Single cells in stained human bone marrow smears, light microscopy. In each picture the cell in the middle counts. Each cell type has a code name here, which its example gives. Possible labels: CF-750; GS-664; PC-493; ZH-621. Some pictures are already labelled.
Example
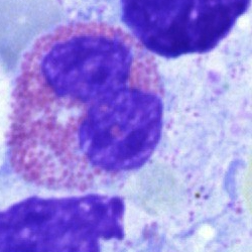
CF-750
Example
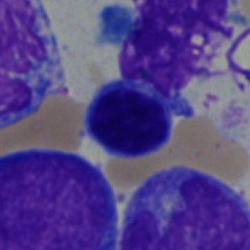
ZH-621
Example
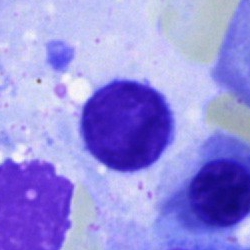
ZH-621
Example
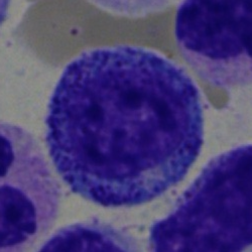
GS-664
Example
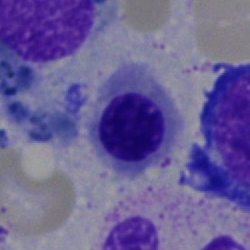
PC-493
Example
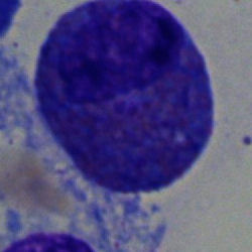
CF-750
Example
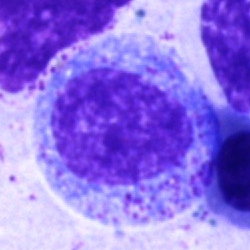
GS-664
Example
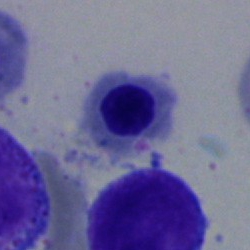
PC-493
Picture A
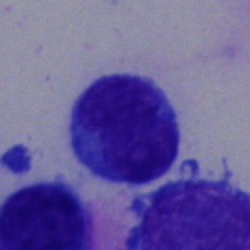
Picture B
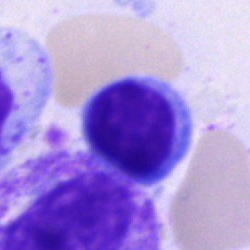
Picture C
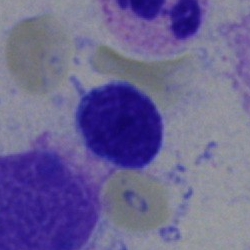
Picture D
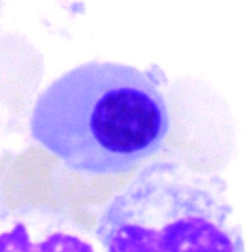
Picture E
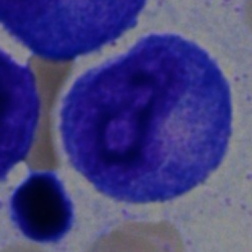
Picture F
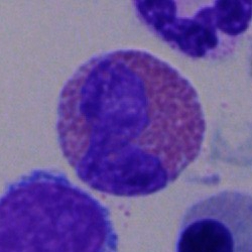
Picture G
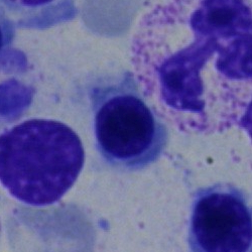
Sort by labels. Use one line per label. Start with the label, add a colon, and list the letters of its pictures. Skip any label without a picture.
CF-750: F
GS-664: E
PC-493: D, G
ZH-621: A, B, C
